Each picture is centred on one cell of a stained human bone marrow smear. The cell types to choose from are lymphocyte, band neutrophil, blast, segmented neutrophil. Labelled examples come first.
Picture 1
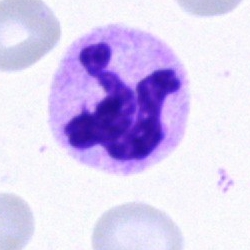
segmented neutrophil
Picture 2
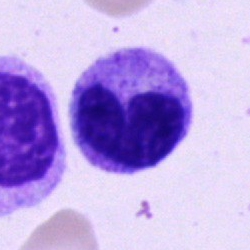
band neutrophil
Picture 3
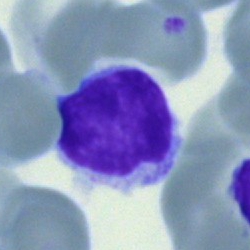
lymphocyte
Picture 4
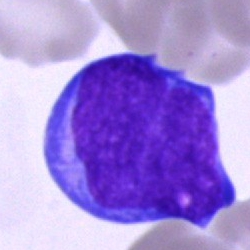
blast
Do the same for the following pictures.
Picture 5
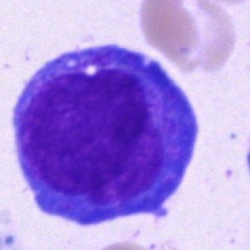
blast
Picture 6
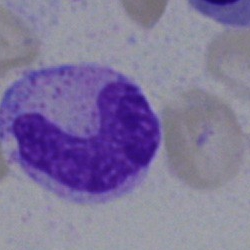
band neutrophil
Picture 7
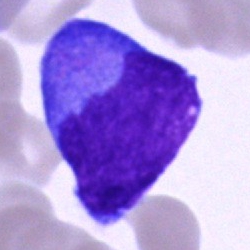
blast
